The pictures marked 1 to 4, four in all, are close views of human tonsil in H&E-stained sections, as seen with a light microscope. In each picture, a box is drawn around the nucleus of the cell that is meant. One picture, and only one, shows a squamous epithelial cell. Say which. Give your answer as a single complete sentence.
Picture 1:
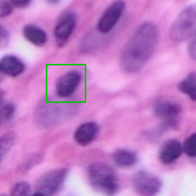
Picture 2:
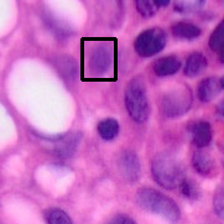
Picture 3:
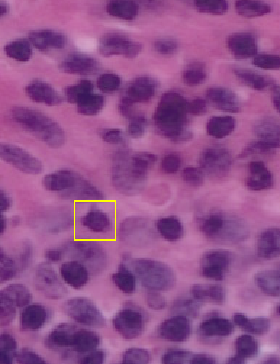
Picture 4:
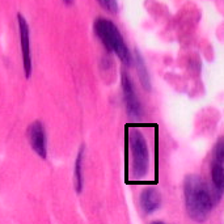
Picture 2 shows the squamous epithelial cell.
